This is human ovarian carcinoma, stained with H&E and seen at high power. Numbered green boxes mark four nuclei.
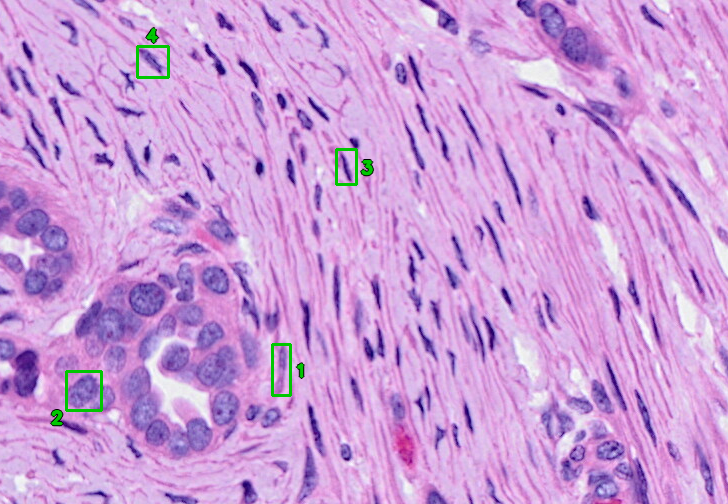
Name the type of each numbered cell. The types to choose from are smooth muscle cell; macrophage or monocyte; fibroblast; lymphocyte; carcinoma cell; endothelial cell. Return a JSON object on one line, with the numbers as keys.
{"1": "fibroblast", "2": "carcinoma cell", "3": "fibroblast", "4": "fibroblast"}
